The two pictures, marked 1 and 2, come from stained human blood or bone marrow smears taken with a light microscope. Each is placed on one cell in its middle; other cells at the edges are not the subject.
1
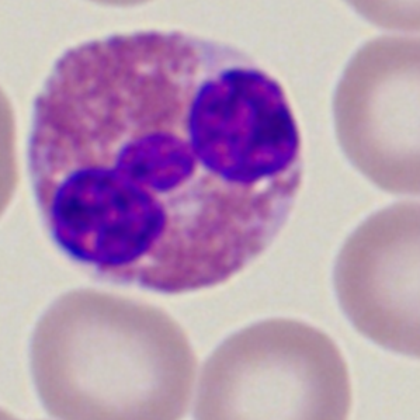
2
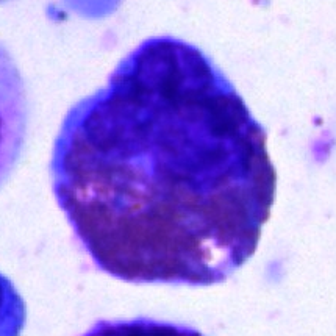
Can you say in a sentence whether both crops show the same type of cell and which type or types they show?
Yes, eosinophils are at the centre in both crops.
